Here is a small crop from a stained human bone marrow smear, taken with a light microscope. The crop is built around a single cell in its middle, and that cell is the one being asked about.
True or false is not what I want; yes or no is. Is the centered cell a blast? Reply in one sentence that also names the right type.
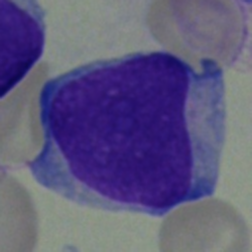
Yes, the cell positioned at the centre of the crop is a blast.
